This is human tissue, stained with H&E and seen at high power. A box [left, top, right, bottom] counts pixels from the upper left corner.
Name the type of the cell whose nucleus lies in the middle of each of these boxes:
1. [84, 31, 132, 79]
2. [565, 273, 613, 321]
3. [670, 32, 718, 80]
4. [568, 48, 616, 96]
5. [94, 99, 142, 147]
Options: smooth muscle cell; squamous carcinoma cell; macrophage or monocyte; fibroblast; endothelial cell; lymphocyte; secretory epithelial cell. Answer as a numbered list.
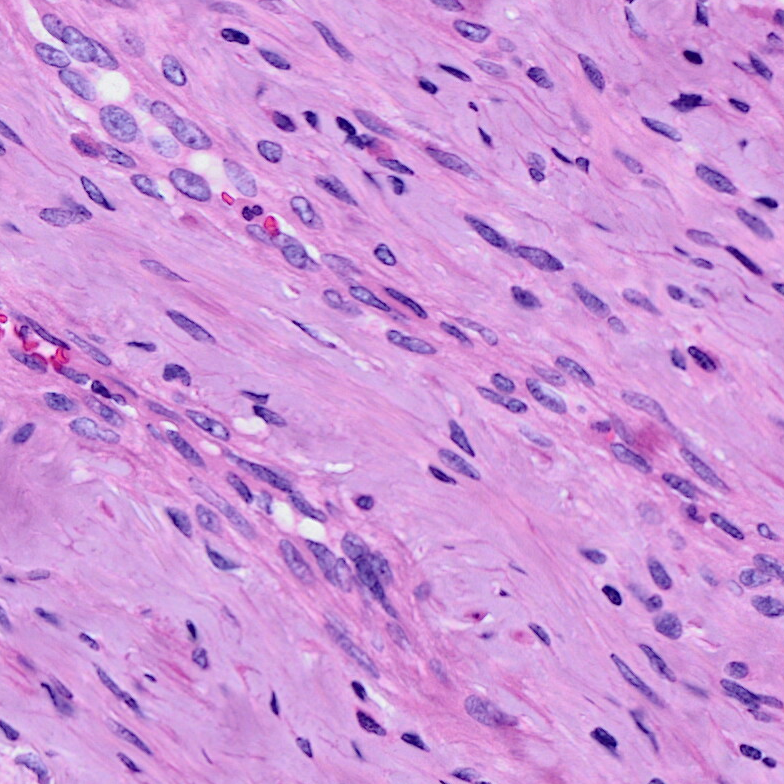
1. endothelial cell
2. fibroblast
3. lymphocyte
4. fibroblast
5. endothelial cell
